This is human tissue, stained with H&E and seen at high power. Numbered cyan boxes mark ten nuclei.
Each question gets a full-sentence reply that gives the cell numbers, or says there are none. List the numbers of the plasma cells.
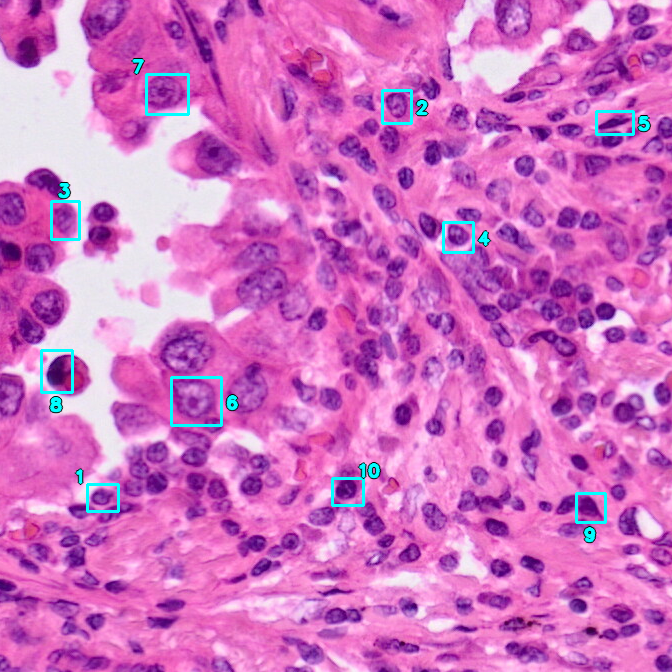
In short, the numbered cells 2, 9 and 10 are plasma cells.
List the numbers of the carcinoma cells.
The cells carrying labels 3, 6, 7 and 8 are carcinoma cells.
